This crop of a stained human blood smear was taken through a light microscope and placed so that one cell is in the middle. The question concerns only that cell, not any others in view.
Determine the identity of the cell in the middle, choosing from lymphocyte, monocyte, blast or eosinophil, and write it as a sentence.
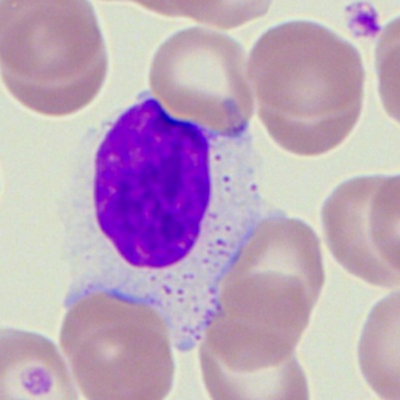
Whatever else lies nearby, the middle cell is a lymphocyte.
